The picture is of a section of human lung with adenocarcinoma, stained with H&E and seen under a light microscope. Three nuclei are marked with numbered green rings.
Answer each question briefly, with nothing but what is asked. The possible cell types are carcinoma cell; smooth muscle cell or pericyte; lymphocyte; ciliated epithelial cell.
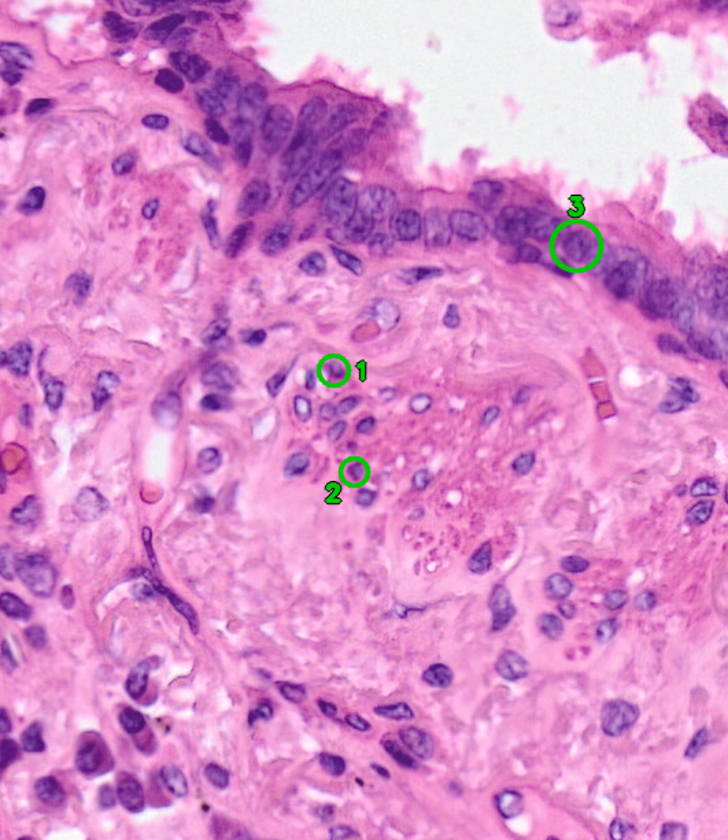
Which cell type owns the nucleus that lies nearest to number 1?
smooth muscle cell or pericyte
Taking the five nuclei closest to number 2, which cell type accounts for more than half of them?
smooth muscle cell or pericyte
